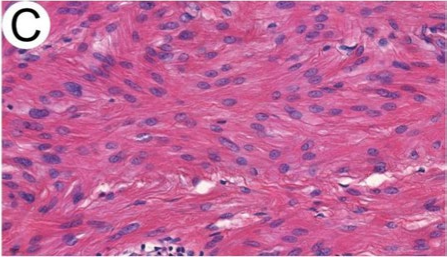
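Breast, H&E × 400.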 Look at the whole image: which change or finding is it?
leiomyoma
